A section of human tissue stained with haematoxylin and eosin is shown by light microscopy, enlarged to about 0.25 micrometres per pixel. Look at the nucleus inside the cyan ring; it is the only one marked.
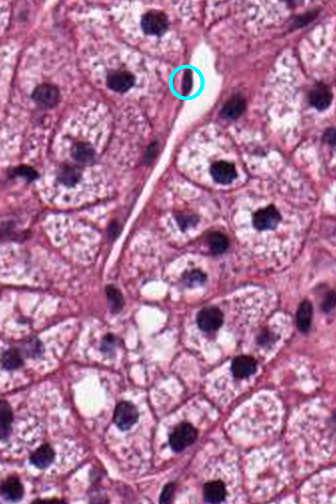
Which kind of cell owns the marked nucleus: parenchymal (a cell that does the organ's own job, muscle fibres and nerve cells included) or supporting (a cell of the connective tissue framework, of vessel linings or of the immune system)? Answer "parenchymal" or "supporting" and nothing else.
supporting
